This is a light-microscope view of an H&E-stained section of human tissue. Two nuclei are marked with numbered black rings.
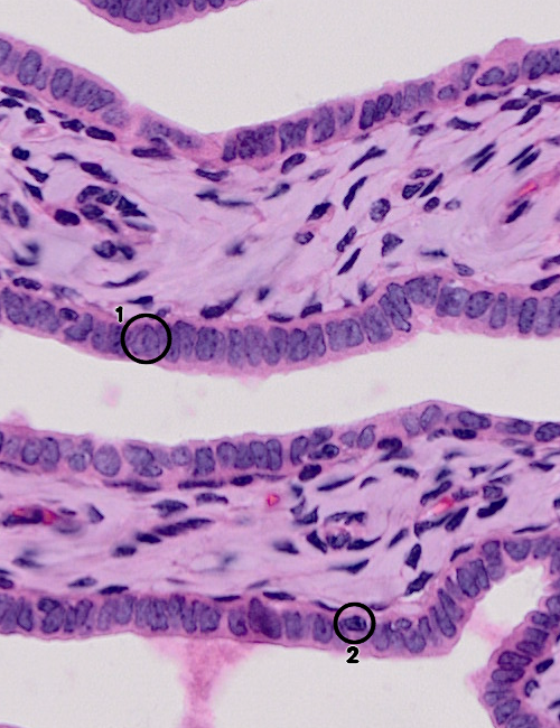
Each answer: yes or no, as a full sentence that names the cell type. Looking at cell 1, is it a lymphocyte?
No, cell 1 is not to be taken for a lymphocyte; it is a carcinoma cell.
